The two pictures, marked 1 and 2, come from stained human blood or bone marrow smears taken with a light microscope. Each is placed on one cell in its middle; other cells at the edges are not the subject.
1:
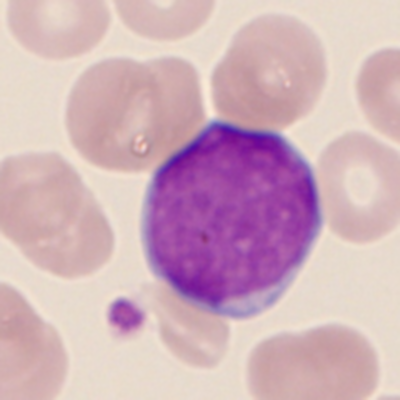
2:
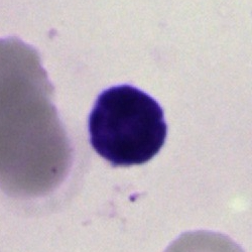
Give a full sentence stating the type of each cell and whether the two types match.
No, crop 1 offers a blast, while crop 2 offers a lymphocyte.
